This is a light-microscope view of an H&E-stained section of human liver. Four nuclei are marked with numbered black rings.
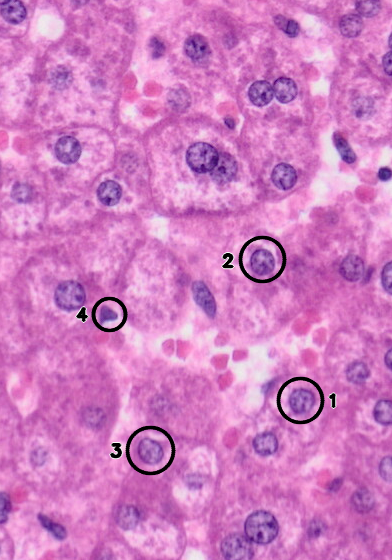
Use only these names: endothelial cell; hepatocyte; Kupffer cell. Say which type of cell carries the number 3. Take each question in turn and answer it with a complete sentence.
At number 3, the marked cell is a hepatocyte.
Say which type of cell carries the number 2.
The cell identified by number 2 is a hepatocyte.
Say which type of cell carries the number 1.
The correct answer for cell 1 is a hepatocyte.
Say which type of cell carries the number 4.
The identity of cell 4 is that of an endothelial cell.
